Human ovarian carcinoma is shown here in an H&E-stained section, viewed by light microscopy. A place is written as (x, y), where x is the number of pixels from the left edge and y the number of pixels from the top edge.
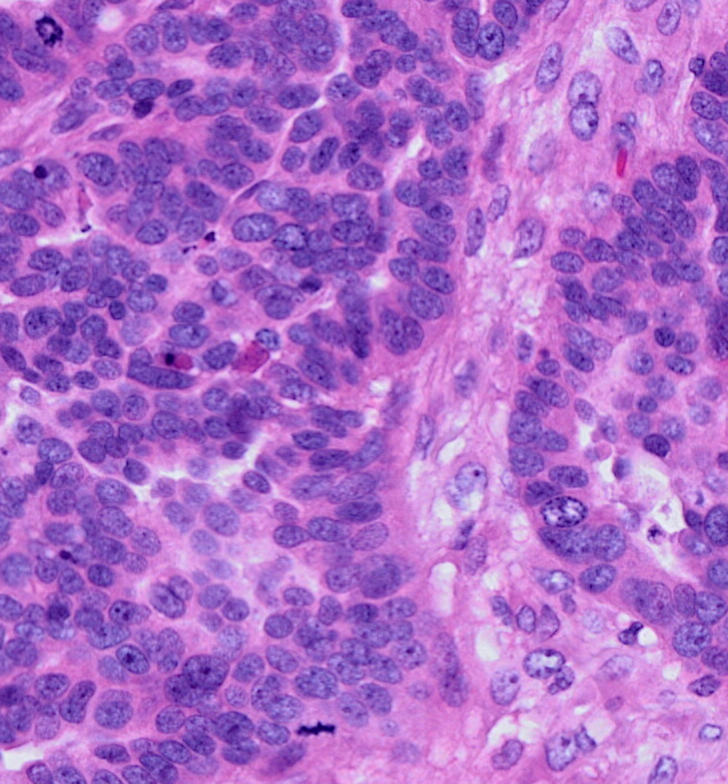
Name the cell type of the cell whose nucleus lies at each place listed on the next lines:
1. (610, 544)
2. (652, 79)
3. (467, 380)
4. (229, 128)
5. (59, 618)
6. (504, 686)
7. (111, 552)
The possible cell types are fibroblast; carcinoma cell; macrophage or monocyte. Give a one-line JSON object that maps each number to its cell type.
{"1": "carcinoma cell", "2": "fibroblast", "3": "fibroblast", "4": "carcinoma cell", "5": "carcinoma cell", "6": "fibroblast", "7": "carcinoma cell"}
